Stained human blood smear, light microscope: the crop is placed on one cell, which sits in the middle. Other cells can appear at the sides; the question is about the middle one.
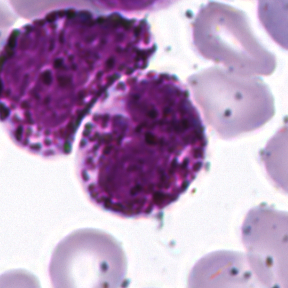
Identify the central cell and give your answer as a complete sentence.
At the crop's centre, the cell is a basophil.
